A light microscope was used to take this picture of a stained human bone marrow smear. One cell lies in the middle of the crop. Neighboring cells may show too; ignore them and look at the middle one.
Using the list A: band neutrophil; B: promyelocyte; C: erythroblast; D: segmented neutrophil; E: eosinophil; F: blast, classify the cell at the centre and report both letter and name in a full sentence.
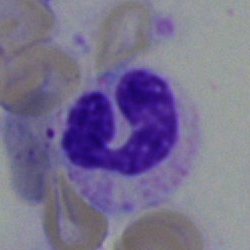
Option A is the keyed answer: the cell in the middle is a band neutrophil.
